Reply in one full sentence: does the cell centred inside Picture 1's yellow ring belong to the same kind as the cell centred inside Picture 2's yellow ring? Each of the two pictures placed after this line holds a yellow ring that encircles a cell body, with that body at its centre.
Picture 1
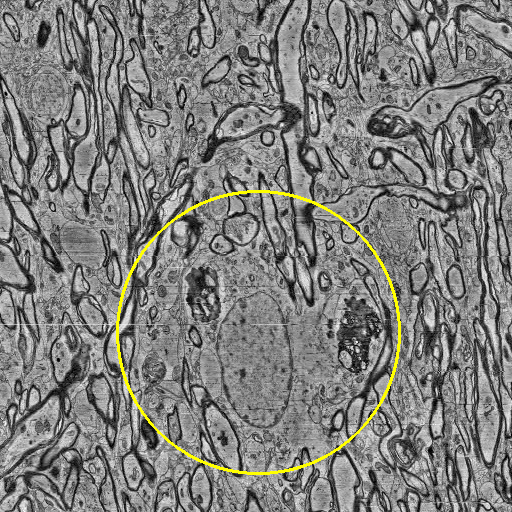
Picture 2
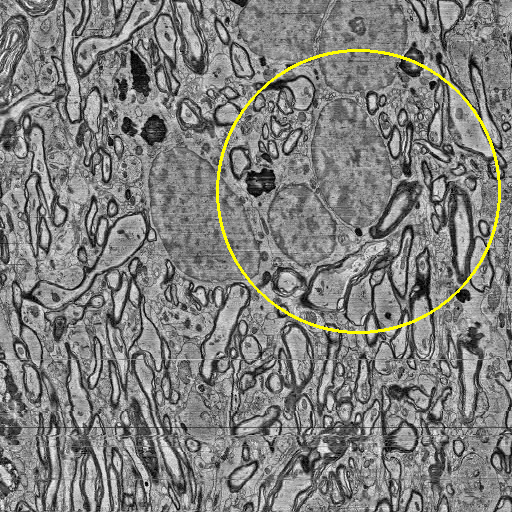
No, the ring-centred cells in Picture 1 and Picture 2 are of two separate kinds.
